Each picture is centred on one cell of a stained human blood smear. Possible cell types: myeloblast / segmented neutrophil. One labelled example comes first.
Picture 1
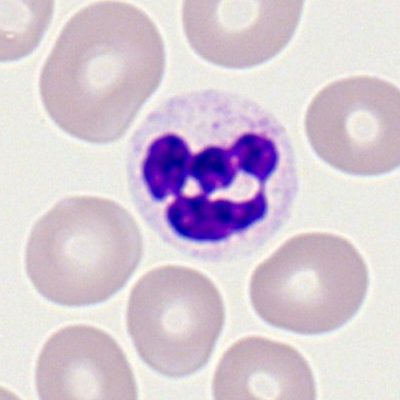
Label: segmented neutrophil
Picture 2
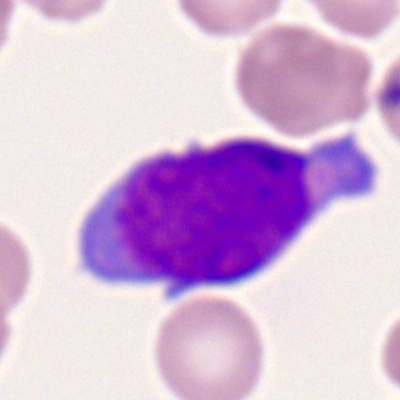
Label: myeloblast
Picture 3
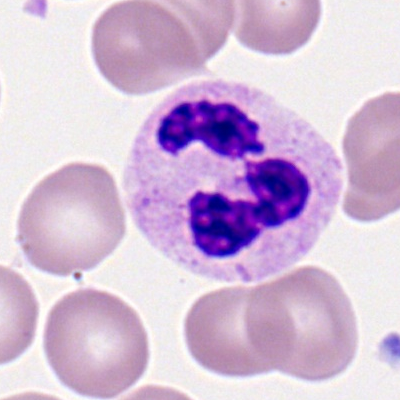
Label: segmented neutrophil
